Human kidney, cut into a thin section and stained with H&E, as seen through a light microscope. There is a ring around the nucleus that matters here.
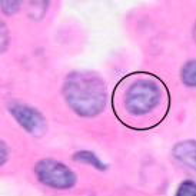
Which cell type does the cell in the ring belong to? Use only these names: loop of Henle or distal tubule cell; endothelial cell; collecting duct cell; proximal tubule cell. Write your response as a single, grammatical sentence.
Cell type answer for this item: the cell in the ring is a loop of Henle or distal tubule cell.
